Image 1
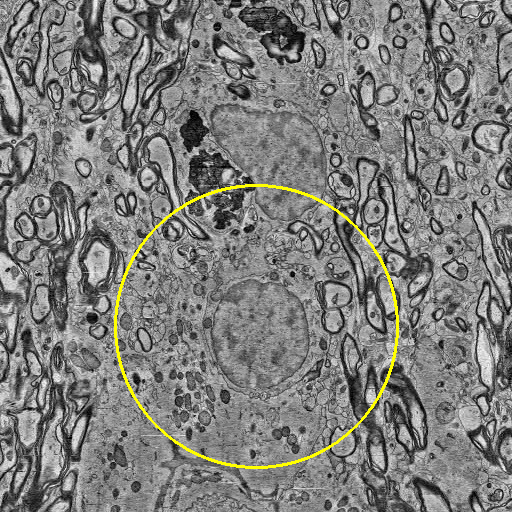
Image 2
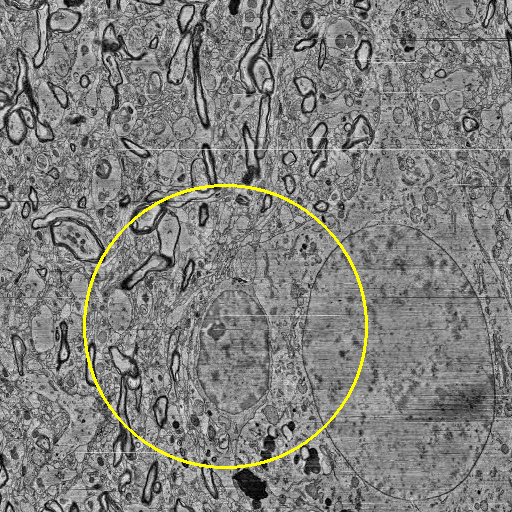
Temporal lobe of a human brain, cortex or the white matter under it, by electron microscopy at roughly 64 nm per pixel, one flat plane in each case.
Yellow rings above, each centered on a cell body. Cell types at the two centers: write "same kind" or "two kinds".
same kind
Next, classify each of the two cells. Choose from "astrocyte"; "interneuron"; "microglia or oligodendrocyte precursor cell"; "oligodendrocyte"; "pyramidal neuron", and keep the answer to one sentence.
The first and the second cell are each an oligodendrocyte.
